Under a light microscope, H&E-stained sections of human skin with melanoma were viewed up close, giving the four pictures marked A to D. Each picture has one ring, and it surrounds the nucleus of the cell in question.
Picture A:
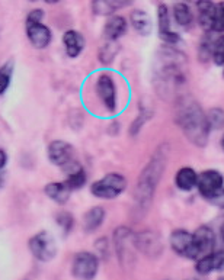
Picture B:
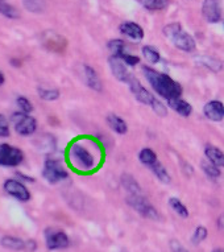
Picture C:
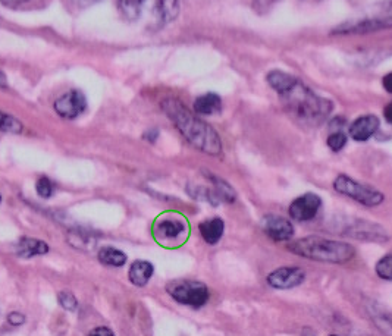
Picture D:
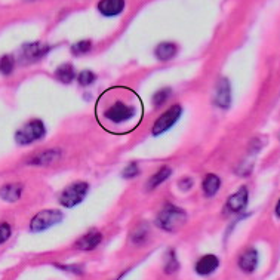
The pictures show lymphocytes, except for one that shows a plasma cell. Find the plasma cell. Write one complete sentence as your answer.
Picture C shows the plasma cell.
